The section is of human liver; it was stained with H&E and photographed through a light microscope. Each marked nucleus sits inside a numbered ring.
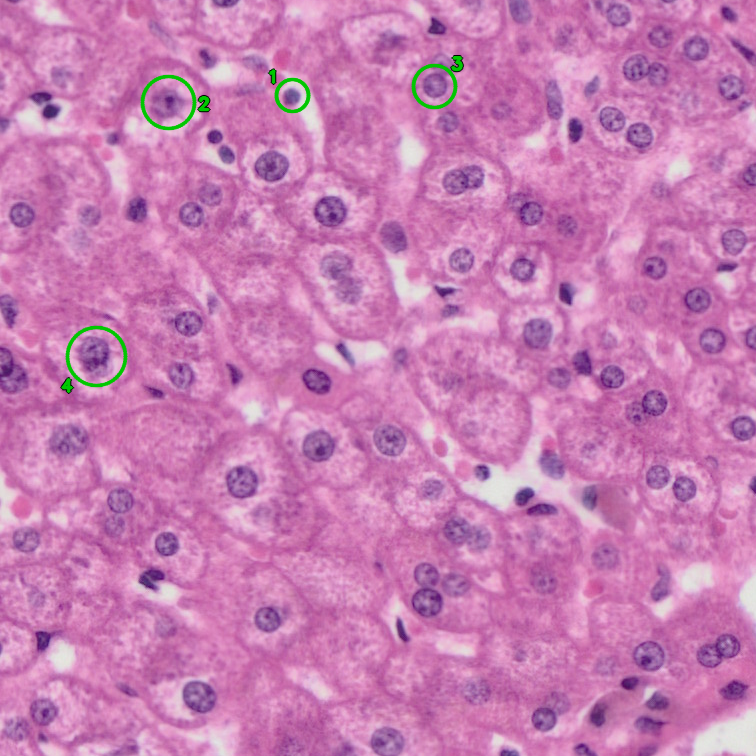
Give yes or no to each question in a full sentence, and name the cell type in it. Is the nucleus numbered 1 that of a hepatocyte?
No, cell 1 is not a hepatocyte; a lymphocyte is the correct identification.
